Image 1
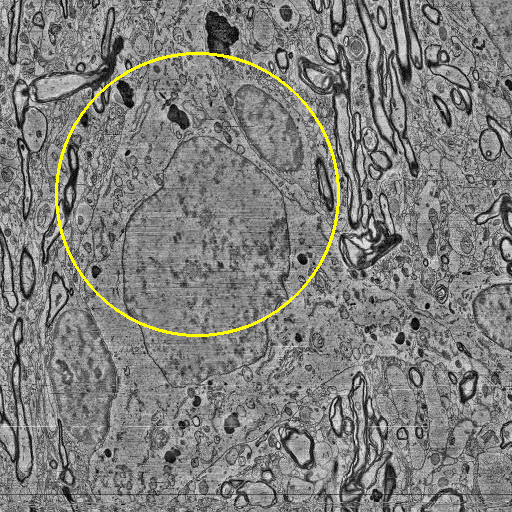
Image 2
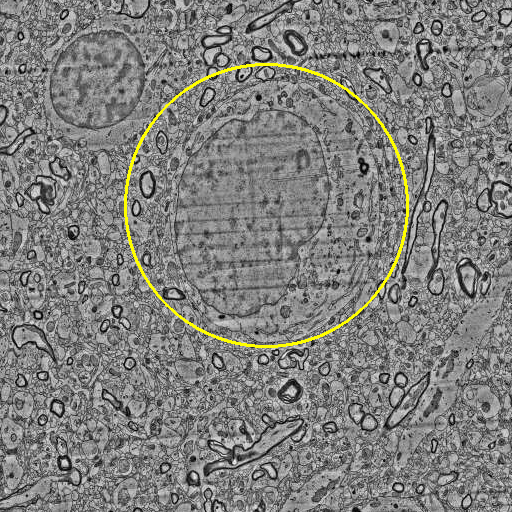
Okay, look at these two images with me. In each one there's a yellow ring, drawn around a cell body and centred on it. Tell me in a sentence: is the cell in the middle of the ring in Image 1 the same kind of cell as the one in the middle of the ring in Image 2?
Yes, they're the same kind of cell.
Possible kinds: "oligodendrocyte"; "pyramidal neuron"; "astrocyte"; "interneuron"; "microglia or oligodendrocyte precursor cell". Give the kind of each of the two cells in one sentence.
In the first picture and in the second, the ring is centred on a pyramidal neuron.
